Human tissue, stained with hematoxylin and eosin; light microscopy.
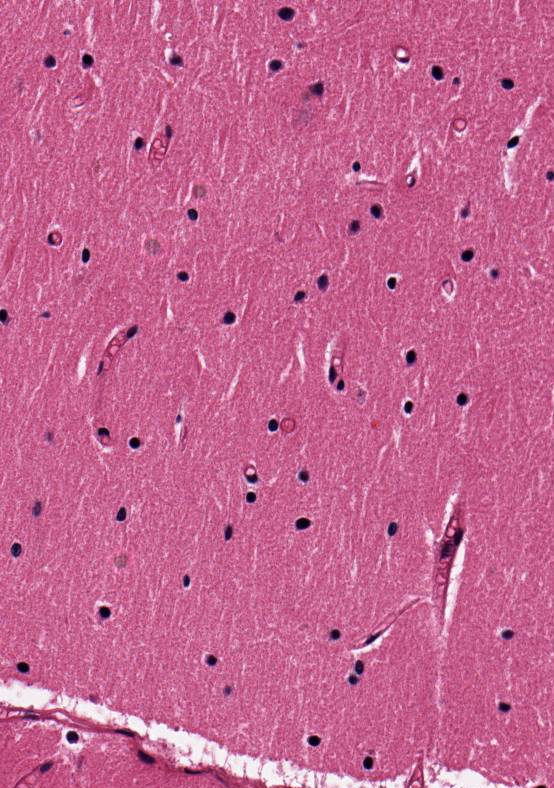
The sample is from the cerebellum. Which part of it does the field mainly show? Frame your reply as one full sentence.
Shown here is the tissue part known as molecular layer.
